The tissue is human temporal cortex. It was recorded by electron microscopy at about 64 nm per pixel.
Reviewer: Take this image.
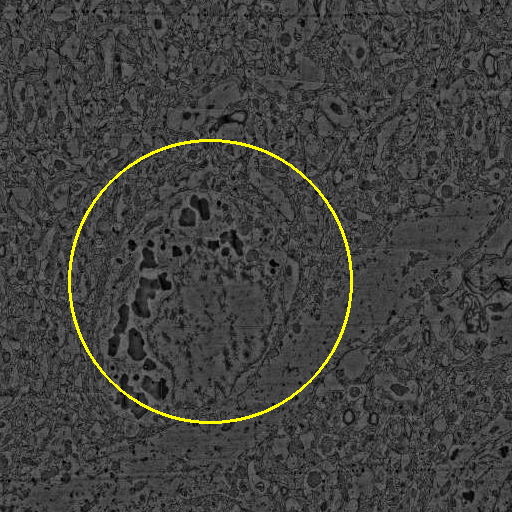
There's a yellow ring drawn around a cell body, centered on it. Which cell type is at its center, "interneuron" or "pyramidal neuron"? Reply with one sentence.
At the center of the yellow ring is an interneuron.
